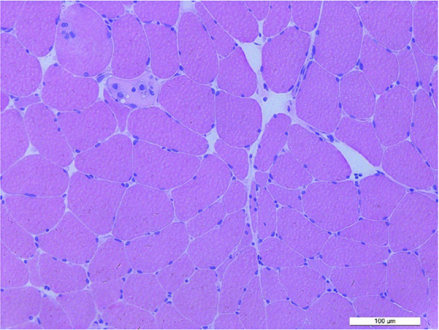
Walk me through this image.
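This is a cross section of skeletal muscle with polygonal pink muscle fibers separated by thin pale endomysium. Most nuclei sit at the edges of the fibers. Fiber size varies, with small angular fibers lying among larger ones, and a few small clusters of nuclei lie in widened spaces between fibers.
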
